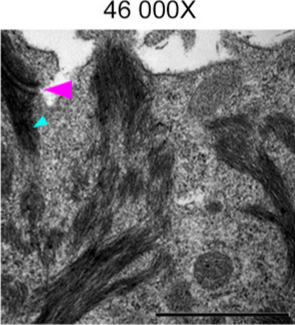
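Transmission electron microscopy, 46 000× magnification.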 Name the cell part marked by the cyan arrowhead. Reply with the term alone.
Dense intermediate filaments.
